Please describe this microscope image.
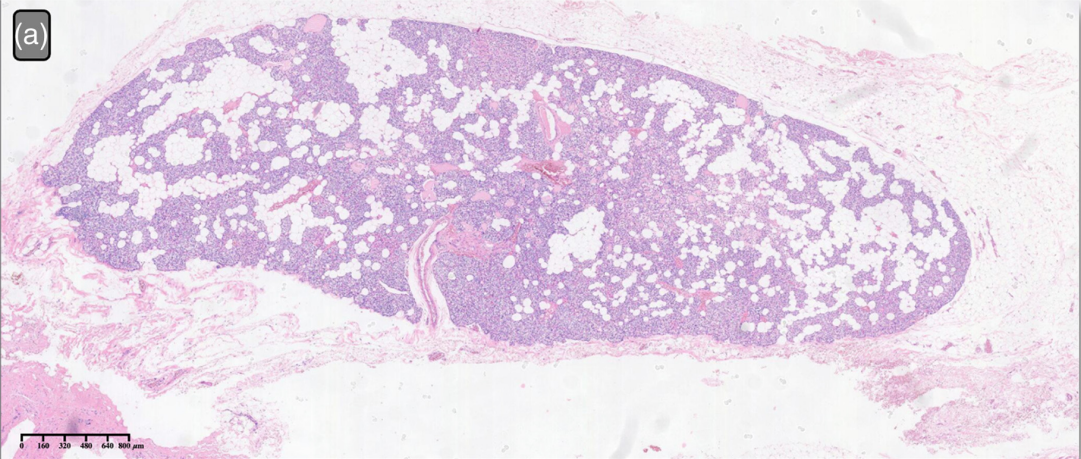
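This low-power section shows a parathyroid gland as an elongated oval organ made of densely packed small cells. Many round and irregular clear spaces, the empty outlines of fat cells, lie scattered throughout the cell sheets and break them into cords and islands. A few thin-walled vessels with pink walls run through the gland. A thin layer of pale pink, loose connective tissue surrounds the gland and separates it from the surrounding soft tissue.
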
